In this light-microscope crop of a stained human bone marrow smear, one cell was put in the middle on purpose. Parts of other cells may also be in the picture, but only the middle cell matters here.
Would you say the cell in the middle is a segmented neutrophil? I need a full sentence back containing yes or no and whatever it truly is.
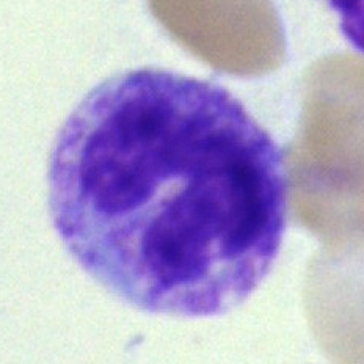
No, the cell in the middle of the crop counts as a band neutrophil and not as a segmented neutrophil.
